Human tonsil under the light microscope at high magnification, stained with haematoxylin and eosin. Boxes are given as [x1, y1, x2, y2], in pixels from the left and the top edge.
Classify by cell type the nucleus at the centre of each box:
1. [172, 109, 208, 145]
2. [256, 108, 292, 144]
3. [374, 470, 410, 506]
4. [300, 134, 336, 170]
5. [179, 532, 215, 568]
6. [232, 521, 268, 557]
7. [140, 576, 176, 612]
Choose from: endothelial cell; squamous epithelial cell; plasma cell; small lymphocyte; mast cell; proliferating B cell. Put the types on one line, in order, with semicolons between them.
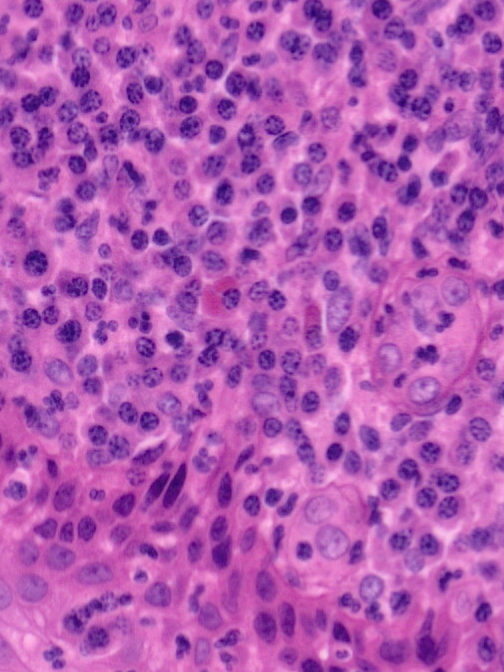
plasma cell; plasma cell; plasma cell; plasma cell; squamous epithelial cell; squamous epithelial cell; squamous epithelial cell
